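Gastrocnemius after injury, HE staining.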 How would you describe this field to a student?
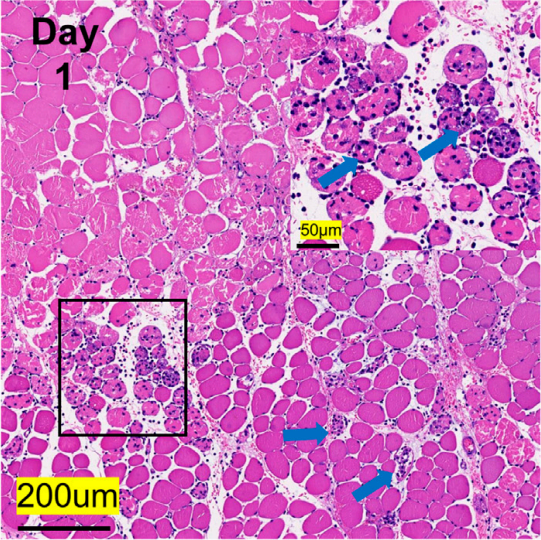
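Skeletal muscle in cross-section with most fibres polygonal and pink, and a patch of rounded, paler fibres invaded by inflammatory cells with small dark nuclei. Cells also gather in the spaces between fibres.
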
